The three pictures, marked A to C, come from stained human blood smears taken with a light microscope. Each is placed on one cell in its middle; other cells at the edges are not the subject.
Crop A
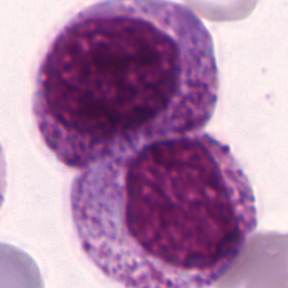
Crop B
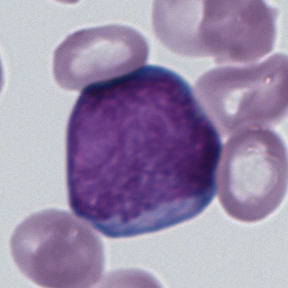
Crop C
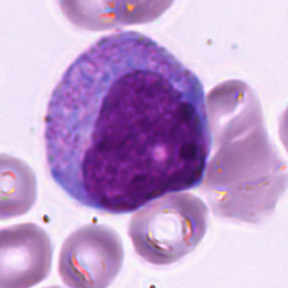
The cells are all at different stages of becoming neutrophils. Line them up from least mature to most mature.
B, C, A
